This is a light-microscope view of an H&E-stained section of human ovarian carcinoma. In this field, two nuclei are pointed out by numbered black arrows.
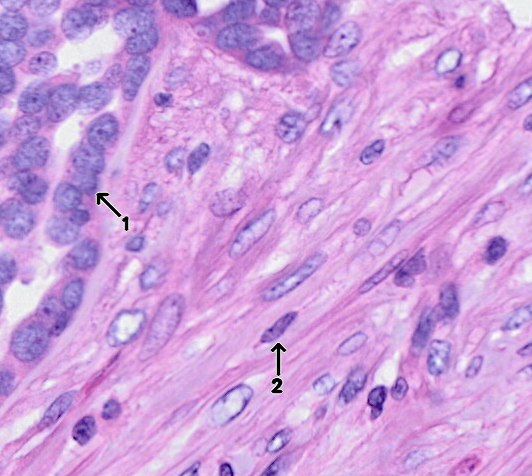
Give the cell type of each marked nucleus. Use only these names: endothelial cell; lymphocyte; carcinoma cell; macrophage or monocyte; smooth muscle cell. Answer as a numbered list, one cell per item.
1. carcinoma cell
2. macrophage or monocyte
